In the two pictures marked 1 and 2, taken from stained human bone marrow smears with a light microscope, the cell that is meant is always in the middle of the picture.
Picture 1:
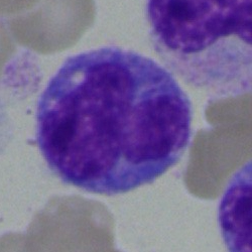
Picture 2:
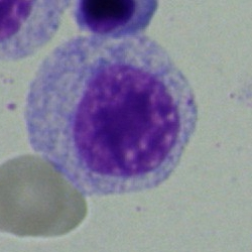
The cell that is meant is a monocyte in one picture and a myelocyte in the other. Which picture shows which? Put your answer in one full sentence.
Picture 1 shows a monocyte and picture 2 shows a myelocyte.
